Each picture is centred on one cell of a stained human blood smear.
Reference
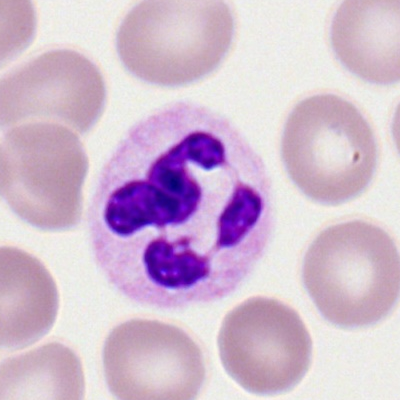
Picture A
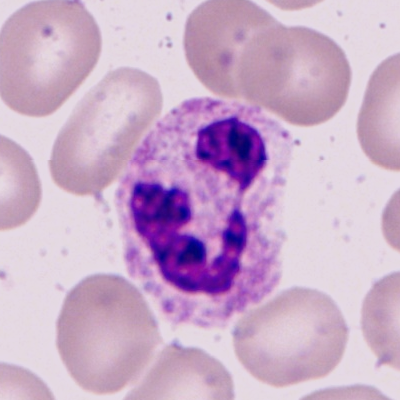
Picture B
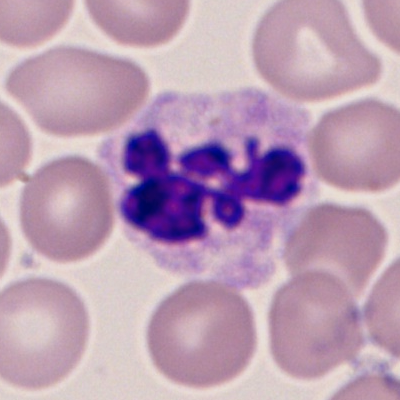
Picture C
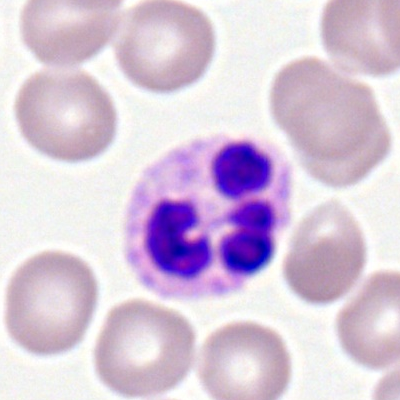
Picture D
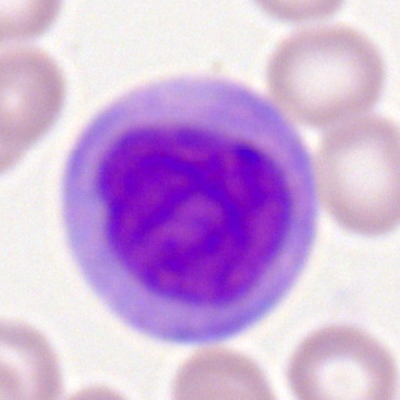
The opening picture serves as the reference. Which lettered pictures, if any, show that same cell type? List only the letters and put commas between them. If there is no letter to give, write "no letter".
A, B, C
